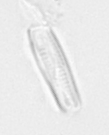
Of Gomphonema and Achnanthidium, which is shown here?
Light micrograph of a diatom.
Achnanthidium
